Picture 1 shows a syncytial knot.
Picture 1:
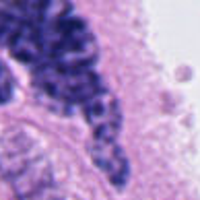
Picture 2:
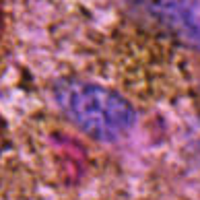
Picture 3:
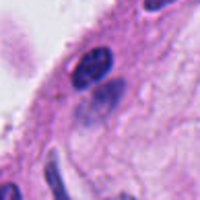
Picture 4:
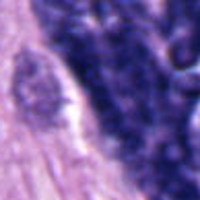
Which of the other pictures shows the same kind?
Picture 4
